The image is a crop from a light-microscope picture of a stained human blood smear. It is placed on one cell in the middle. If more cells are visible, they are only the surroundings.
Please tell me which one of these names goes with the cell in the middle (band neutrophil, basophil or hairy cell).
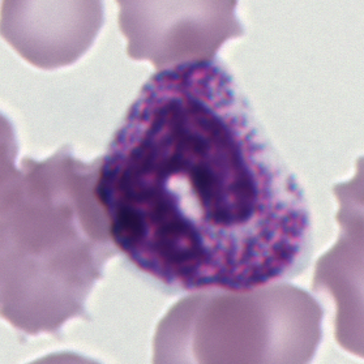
band neutrophil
